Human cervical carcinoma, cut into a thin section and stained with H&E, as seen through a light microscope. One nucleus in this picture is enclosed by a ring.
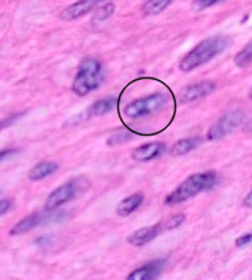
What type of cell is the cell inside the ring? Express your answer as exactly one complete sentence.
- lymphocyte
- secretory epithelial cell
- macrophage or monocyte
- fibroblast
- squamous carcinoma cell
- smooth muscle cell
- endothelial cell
Among the cells in this section, the cell inside the ring is a smooth muscle cell.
